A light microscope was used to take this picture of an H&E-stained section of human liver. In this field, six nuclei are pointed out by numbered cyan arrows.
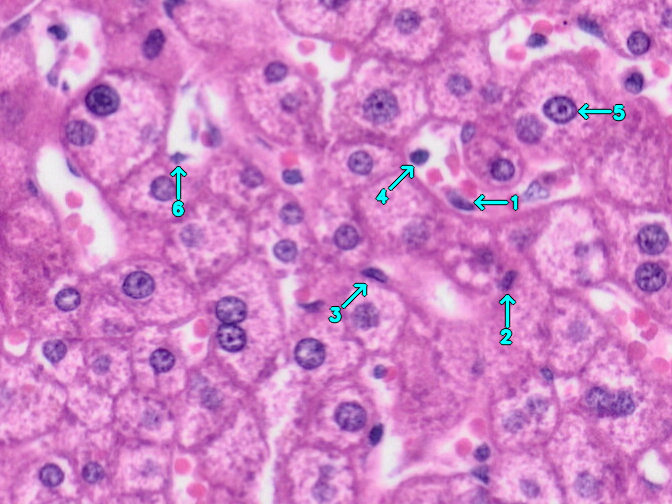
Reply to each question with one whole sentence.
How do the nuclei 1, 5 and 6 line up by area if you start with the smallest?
From smallest to largest, the order is 6, 1, 5.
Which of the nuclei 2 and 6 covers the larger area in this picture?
Of the two, number 2 is bigger and takes up about 1.5 times the area of number 6.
